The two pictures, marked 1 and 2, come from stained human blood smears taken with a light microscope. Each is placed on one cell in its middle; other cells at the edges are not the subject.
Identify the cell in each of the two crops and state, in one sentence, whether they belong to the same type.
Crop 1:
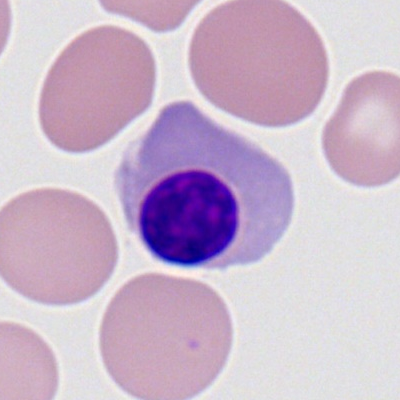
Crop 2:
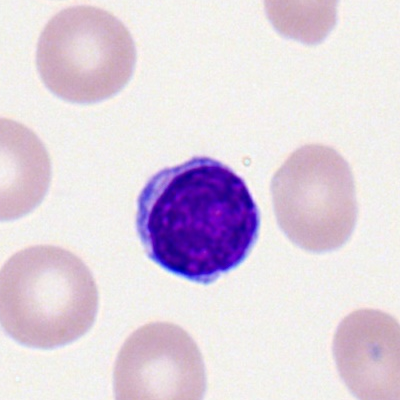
No, on this set crop 1 shows an erythroblast and crop 2 shows a lymphocyte.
